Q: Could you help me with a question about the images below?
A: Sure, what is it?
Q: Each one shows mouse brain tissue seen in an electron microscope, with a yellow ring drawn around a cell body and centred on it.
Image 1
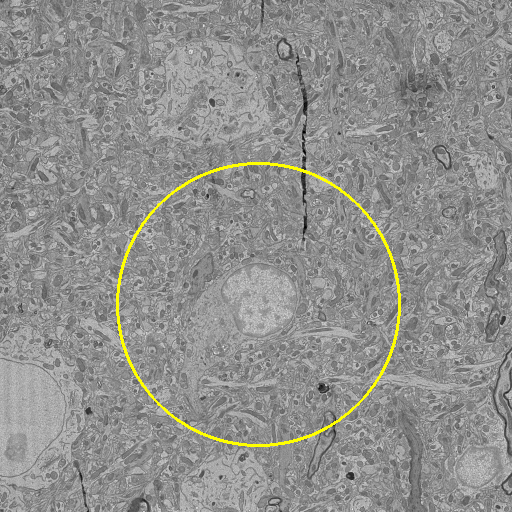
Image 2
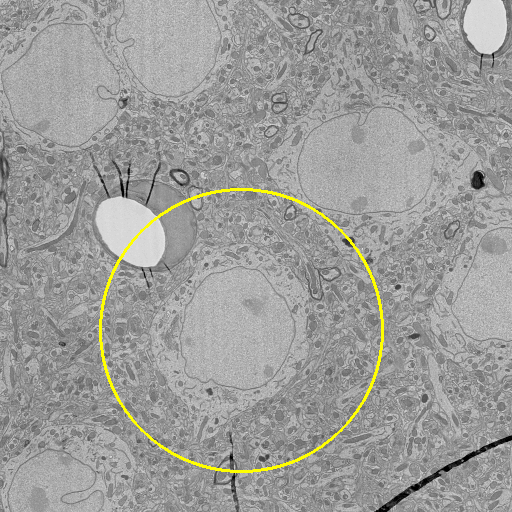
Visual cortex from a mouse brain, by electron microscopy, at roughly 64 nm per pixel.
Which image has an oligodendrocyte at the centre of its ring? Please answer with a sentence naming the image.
Image 1 has it at the centre of its ring.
